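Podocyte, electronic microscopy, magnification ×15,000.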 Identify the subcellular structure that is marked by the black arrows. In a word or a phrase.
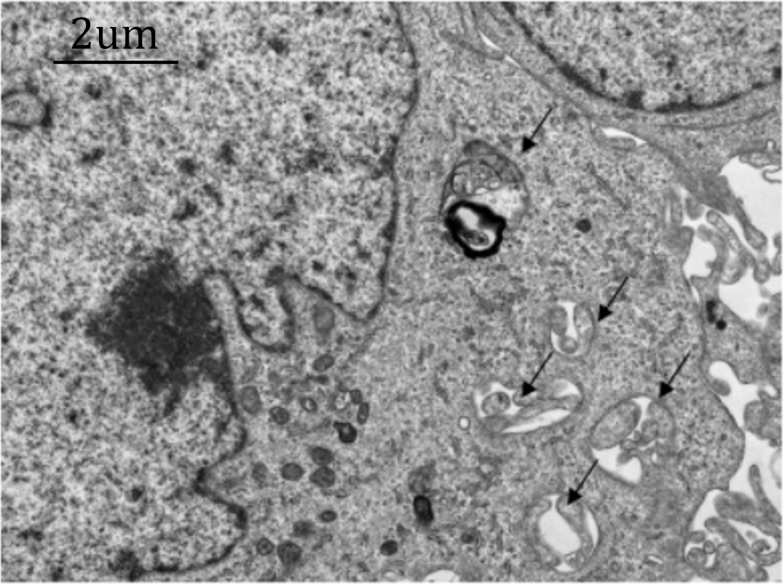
autophagosomes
